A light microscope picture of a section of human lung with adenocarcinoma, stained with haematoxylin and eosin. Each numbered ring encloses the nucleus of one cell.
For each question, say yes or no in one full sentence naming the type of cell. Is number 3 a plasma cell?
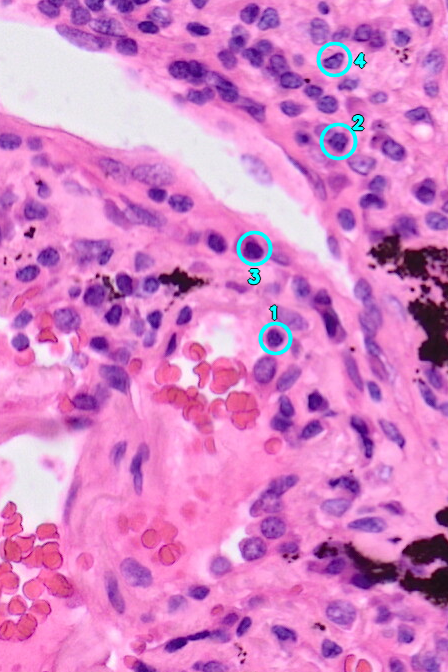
Yes, the cell to which number 3 refers is a plasma cell.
